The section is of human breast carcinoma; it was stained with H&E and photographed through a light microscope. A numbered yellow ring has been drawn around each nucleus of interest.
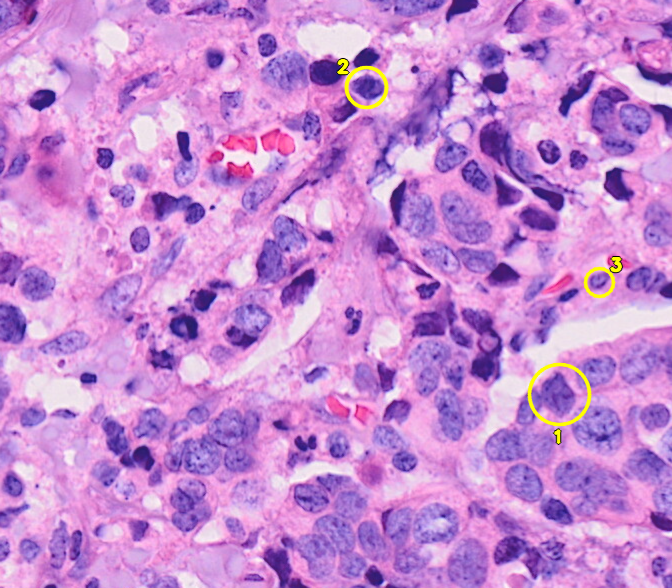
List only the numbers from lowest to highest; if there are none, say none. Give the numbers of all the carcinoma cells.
1, 2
